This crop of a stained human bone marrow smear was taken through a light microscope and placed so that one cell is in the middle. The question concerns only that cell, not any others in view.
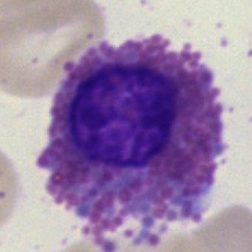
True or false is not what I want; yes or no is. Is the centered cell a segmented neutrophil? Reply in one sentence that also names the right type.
No, it isn't a segmented neutrophil; what sits in the middle is an eosinophil.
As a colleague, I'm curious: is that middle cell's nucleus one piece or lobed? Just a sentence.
The nucleus amounts to one compact mass with a round, oval or kidney-shaped outline.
